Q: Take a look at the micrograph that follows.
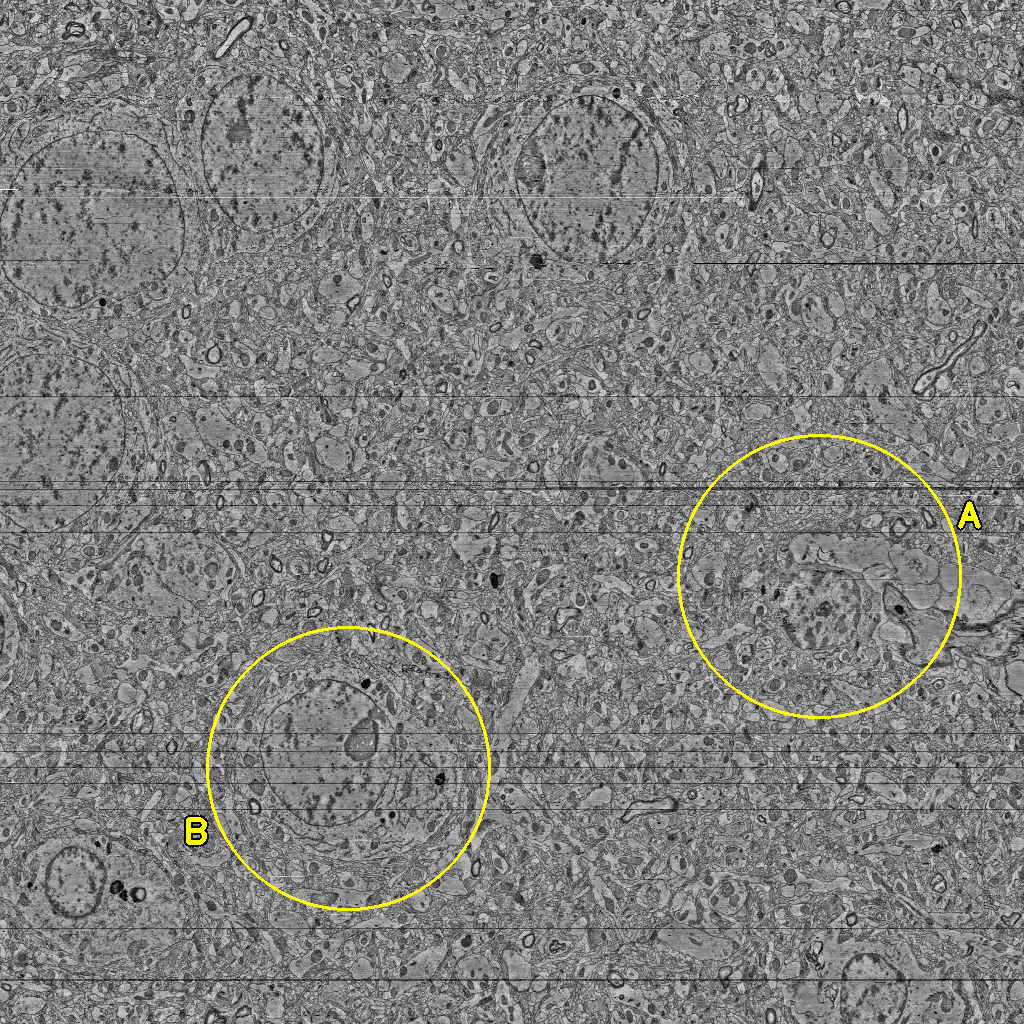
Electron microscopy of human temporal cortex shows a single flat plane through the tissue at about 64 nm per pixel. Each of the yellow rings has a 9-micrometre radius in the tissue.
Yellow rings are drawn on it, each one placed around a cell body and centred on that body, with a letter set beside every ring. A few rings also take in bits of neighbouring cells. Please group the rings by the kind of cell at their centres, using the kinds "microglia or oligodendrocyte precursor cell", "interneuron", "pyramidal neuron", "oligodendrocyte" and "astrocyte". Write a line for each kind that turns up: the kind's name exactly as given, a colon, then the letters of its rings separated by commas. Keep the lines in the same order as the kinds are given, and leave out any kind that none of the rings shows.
pyramidal neuron: B
oligodendrocyte: A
